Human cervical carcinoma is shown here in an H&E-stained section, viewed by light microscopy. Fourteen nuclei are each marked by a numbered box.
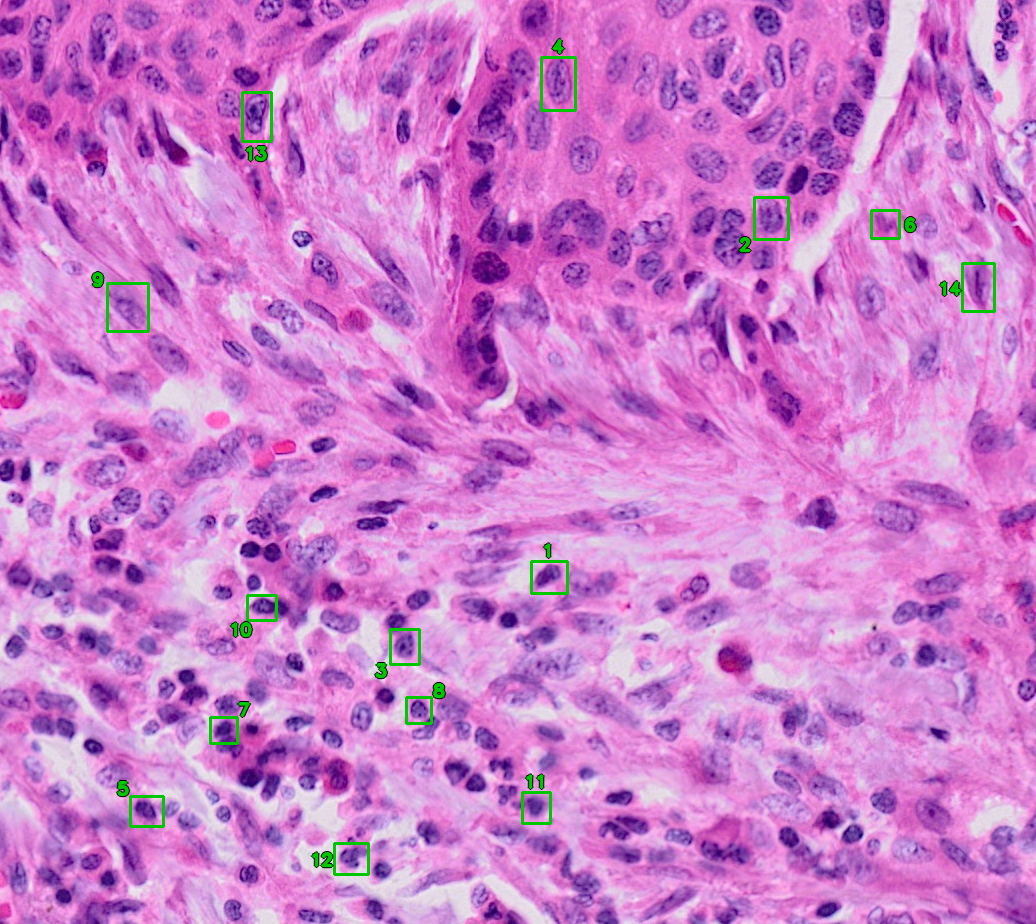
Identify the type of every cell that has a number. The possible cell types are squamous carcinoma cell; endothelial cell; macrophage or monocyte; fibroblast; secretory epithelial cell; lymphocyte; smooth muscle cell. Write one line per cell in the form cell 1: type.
cell 1: lymphocyte
cell 2: squamous carcinoma cell
cell 3: lymphocyte
cell 4: squamous carcinoma cell
cell 5: lymphocyte
cell 6: fibroblast
cell 7: lymphocyte
cell 8: lymphocyte
cell 9: fibroblast
cell 10: lymphocyte
cell 11: lymphocyte
cell 12: lymphocyte
cell 13: squamous carcinoma cell
cell 14: fibroblast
